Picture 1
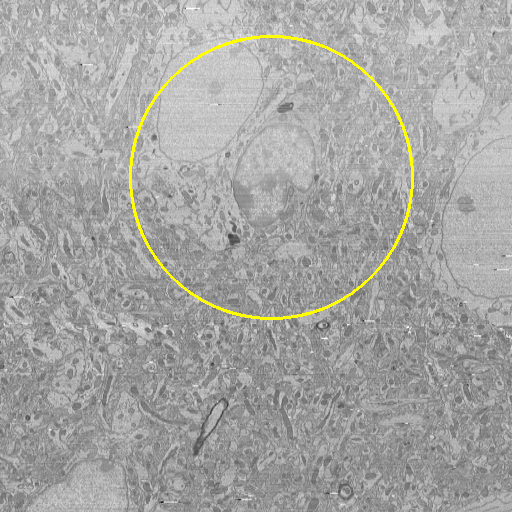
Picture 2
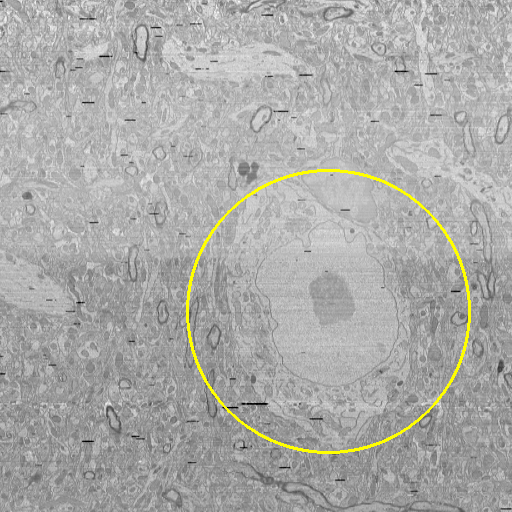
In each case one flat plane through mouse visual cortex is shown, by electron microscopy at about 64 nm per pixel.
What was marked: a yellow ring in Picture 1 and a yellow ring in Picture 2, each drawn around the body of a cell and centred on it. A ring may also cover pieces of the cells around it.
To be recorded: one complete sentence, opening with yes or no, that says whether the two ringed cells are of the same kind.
No, the two ringed cells are of two kinds.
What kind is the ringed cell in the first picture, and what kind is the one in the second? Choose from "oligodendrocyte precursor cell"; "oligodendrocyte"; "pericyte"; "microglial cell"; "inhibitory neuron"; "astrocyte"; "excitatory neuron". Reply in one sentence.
The first cell is an oligodendrocyte; the second is an excitatory neuron.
